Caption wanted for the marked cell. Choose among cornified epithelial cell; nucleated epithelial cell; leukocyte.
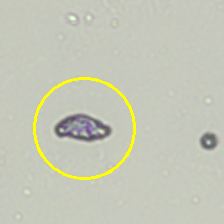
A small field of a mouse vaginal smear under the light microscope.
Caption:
Ringed in yellow is a cornified epithelial cell.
